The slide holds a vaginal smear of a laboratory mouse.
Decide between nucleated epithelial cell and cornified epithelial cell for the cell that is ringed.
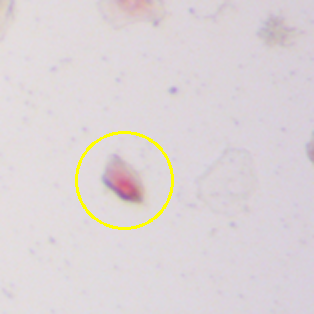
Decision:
I take the ringed cell for a nucleated epithelial cell.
